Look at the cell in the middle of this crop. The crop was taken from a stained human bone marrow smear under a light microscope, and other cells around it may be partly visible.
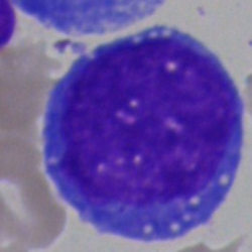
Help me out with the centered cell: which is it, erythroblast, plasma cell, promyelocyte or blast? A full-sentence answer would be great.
Here the centrally located cell is a blast.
